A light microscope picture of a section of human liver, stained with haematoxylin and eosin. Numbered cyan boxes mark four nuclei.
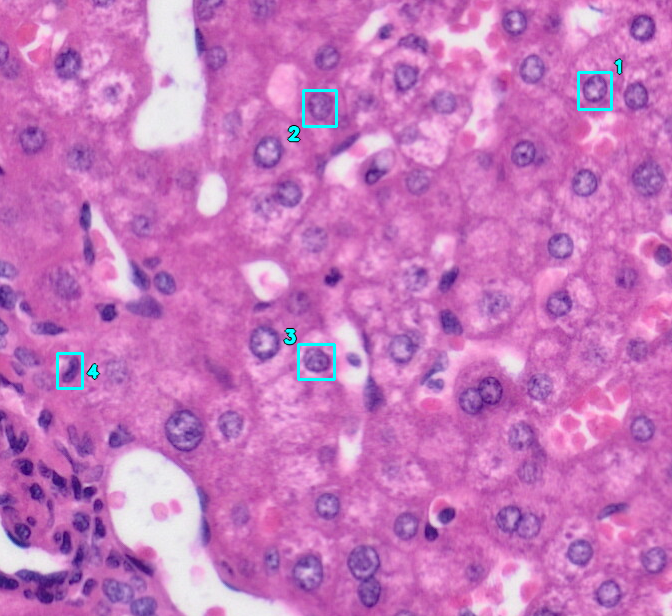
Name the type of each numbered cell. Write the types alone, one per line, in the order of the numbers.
hepatocyte
hepatocyte
hepatocyte
fibroblast or stellate cell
